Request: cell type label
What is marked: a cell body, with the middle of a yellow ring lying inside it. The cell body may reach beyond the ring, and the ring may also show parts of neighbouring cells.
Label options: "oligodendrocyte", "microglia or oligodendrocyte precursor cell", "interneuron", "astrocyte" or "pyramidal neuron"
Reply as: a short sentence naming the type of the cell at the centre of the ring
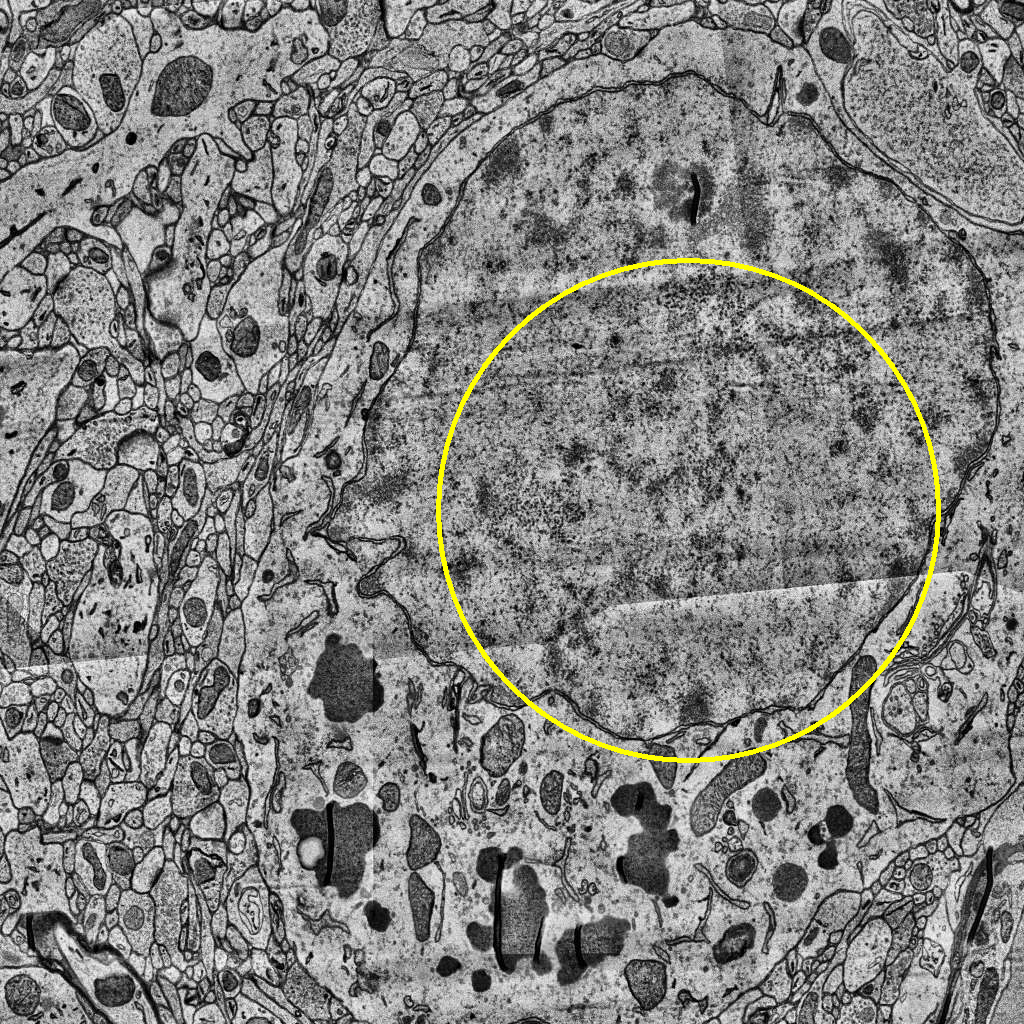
The marked cell body is that of an interneuron.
